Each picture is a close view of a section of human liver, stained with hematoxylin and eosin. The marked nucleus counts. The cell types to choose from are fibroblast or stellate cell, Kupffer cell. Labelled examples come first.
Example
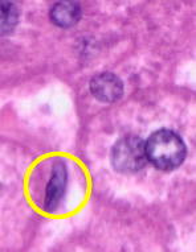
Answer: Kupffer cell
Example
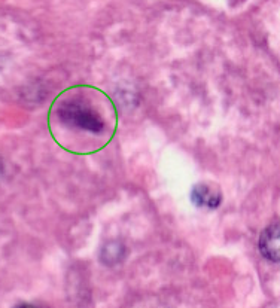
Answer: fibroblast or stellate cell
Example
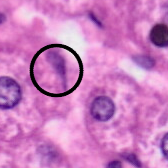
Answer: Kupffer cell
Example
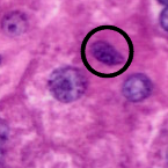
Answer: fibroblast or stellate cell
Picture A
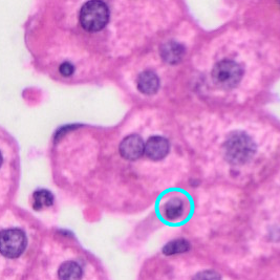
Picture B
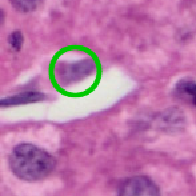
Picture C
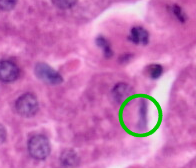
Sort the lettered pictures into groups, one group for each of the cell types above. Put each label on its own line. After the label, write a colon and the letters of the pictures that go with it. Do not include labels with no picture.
Kupffer cell: A, B, C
